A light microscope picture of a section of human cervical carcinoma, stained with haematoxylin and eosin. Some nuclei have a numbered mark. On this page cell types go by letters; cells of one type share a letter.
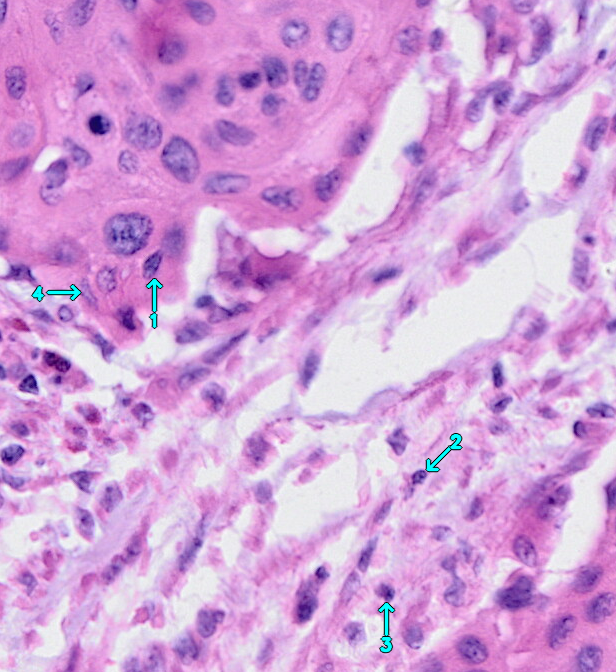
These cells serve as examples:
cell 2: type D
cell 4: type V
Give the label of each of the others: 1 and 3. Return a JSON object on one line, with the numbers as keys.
{"1": "type V", "3": "type D"}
